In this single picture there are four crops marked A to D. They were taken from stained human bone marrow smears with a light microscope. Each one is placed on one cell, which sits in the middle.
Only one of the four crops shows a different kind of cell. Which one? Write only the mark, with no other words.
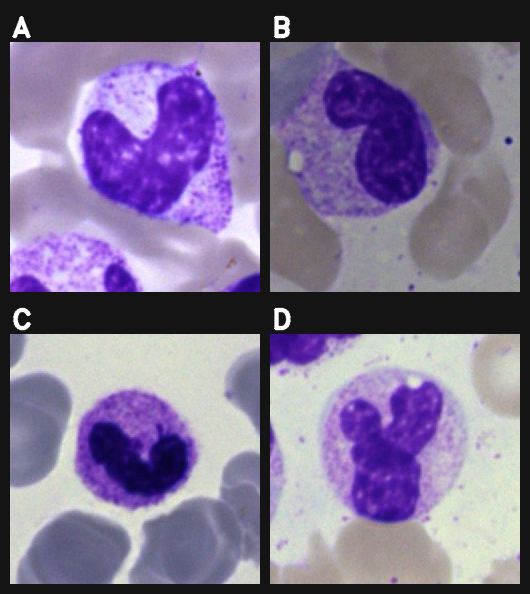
D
